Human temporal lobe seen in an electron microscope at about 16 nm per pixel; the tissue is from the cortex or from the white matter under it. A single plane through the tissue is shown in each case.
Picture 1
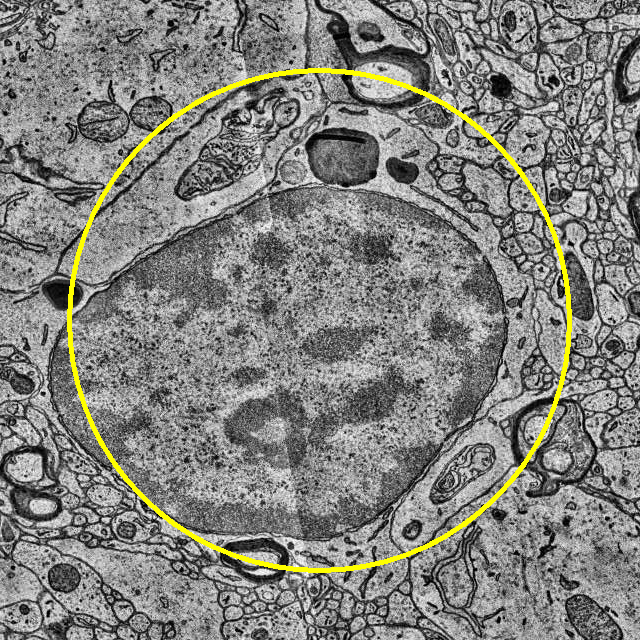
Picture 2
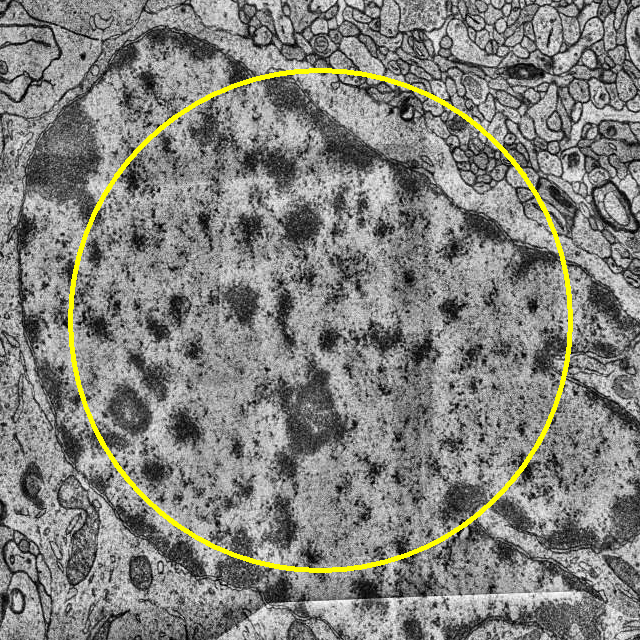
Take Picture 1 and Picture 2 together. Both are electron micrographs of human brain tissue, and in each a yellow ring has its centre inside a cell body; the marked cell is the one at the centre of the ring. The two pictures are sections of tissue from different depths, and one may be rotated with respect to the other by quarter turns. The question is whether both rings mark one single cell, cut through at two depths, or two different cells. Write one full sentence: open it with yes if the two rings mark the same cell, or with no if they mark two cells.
No, within the two rings lie two different cells.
